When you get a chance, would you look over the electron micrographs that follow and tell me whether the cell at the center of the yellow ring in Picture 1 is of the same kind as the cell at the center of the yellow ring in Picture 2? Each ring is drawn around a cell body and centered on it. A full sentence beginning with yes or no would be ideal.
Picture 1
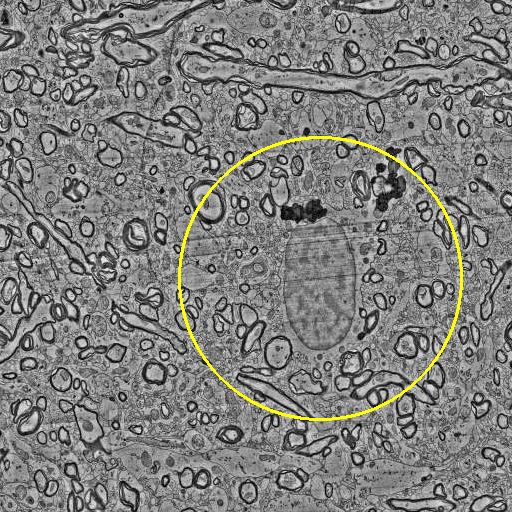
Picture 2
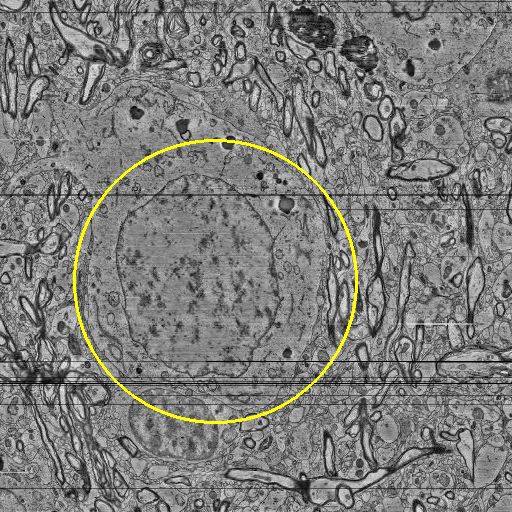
No, they are two kinds of cell.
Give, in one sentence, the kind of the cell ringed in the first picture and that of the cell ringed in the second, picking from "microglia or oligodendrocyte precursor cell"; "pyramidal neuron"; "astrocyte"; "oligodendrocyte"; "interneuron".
For the first picture it is an oligodendrocyte; for the second, a pyramidal neuron.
